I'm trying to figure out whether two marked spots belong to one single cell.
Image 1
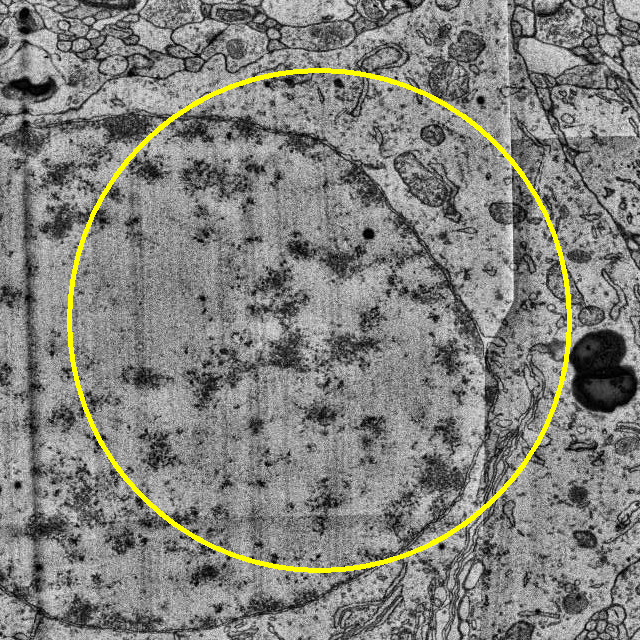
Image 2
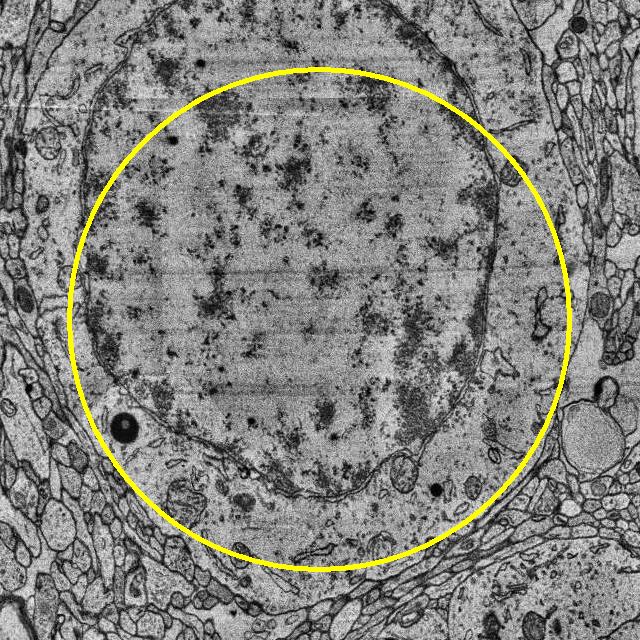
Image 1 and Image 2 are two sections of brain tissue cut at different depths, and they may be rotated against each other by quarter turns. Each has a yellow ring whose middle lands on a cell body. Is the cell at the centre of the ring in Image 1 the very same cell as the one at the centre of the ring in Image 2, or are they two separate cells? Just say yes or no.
yes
